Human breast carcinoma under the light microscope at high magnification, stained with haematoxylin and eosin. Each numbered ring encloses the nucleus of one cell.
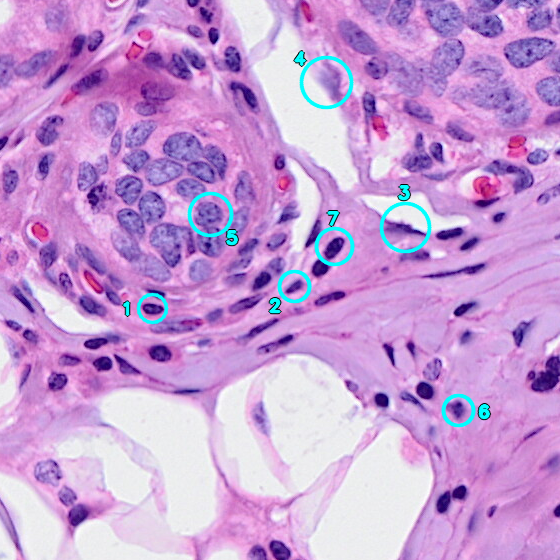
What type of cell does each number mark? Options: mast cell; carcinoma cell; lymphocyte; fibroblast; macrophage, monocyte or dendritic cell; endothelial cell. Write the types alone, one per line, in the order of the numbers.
mast cell
lymphocyte
fibroblast
fibroblast
carcinoma cell
lymphocyte
lymphocyte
